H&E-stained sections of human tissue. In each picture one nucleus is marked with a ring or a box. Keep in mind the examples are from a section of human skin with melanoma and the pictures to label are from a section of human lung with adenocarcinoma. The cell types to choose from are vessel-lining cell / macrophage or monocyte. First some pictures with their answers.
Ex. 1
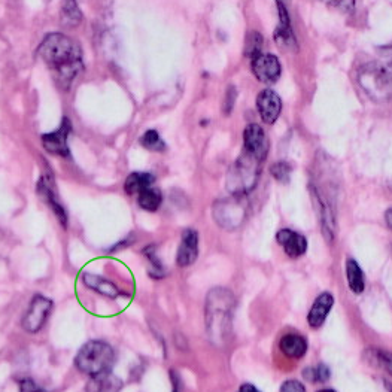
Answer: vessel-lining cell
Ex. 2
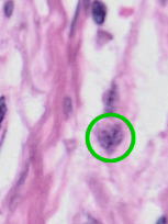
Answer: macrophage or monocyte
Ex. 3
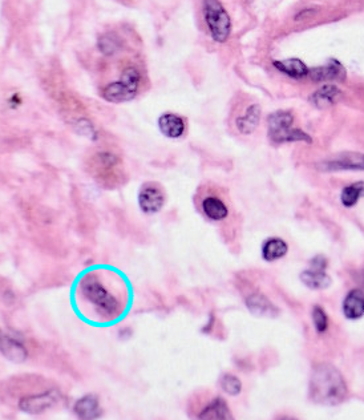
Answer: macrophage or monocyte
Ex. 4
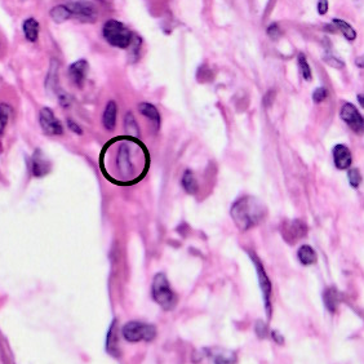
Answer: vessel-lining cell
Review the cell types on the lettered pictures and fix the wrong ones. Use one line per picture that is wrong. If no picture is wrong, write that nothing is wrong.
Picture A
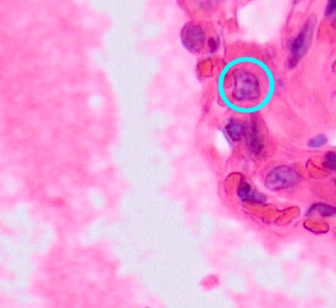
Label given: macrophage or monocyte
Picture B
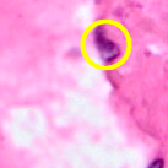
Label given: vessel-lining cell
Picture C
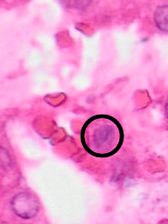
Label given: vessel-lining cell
C: macrophage or monocyte, not vessel-lining cell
